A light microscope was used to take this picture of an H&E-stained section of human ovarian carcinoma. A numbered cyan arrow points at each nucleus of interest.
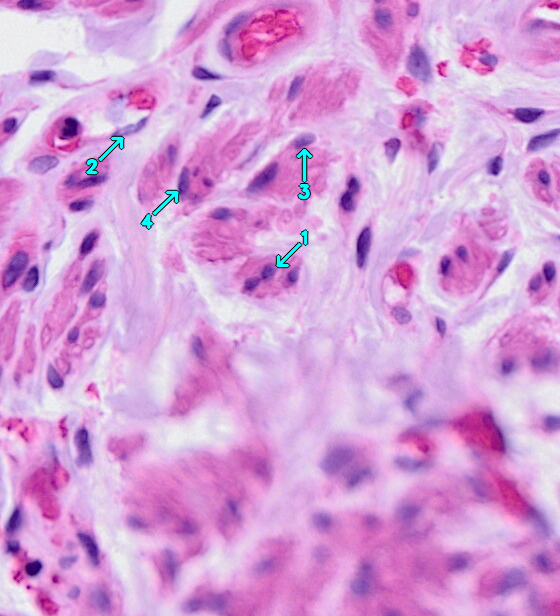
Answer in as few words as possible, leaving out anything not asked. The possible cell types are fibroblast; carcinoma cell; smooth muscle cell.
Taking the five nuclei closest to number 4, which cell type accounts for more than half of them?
smooth muscle cell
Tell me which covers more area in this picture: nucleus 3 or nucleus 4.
4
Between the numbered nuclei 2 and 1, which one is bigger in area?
2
